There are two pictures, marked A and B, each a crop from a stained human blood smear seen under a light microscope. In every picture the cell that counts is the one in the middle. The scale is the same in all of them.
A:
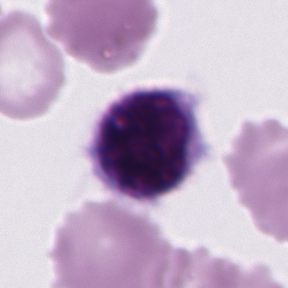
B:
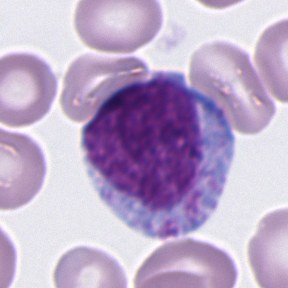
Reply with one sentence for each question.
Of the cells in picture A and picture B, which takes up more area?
Picture B holds the larger cell; it covers about 2 times the area of the cell in picture A.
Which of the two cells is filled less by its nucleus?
In picture B the nucleus takes up the smaller part of its cell.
